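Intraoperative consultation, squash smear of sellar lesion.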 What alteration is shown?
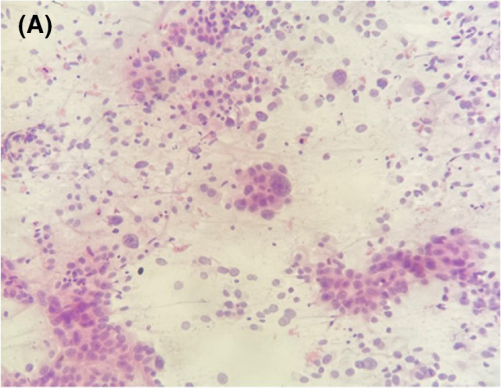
aggregates of large and pleomorphic cells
